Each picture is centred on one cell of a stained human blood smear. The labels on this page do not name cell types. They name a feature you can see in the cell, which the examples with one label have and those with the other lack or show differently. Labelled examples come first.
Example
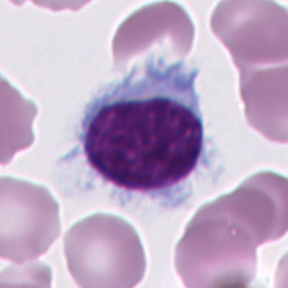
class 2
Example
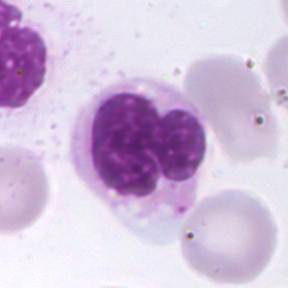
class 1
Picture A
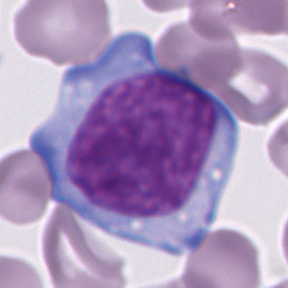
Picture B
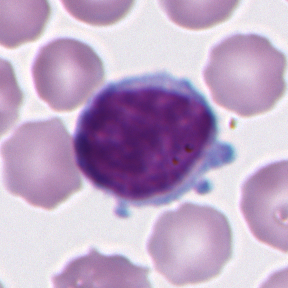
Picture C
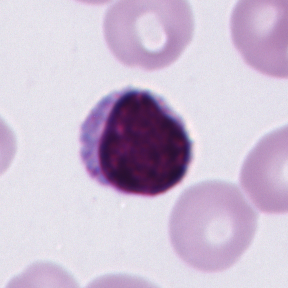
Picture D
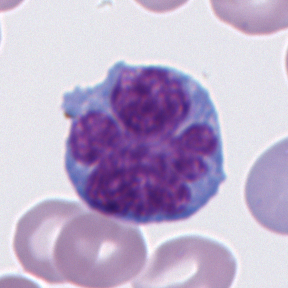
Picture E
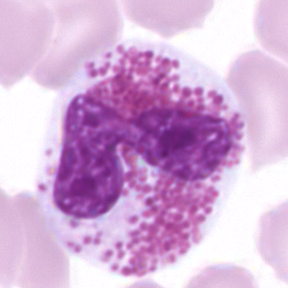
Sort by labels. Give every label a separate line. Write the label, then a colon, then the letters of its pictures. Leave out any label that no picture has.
class 2: A, B, C
class 1: D, E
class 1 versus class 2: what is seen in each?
In class 1: lobed nucleus. In class 2: single compact nucleus.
